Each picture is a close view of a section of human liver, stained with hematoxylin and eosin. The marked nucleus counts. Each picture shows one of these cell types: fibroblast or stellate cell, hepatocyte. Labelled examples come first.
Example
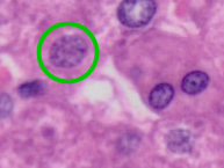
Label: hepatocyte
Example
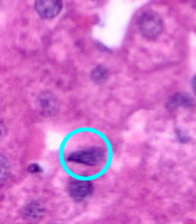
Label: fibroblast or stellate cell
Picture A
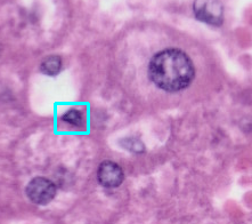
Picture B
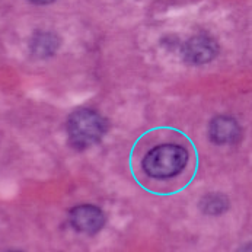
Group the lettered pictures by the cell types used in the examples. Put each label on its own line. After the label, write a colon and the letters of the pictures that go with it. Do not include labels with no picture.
fibroblast or stellate cell: A
hepatocyte: B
